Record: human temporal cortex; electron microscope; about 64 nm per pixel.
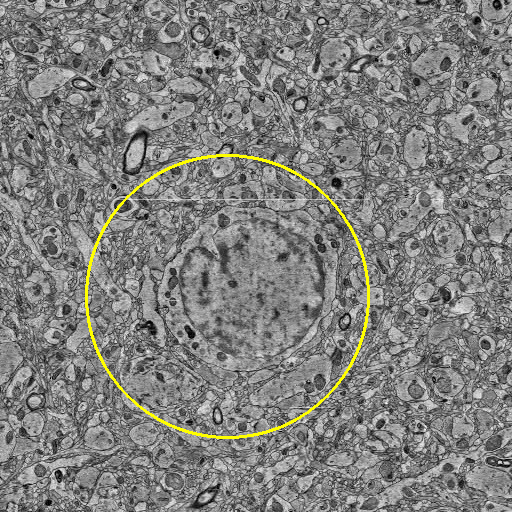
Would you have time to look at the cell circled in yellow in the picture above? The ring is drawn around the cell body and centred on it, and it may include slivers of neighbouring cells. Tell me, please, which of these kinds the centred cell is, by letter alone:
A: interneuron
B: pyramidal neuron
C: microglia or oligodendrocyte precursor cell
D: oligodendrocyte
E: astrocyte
A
